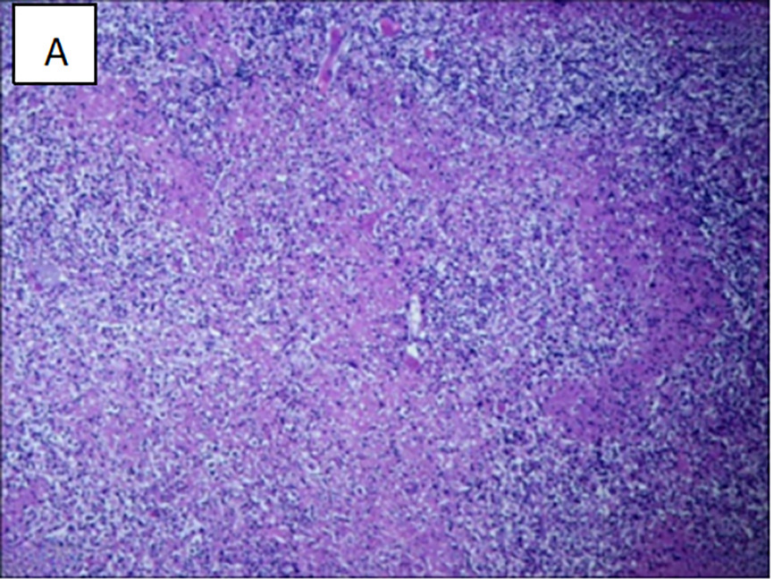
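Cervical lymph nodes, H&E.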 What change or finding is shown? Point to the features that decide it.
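Irregular pale pink zones with few intact nuclei. These zones are bordered by densely packed dark blue nuclei. That points to this answer: necrotic areas.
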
